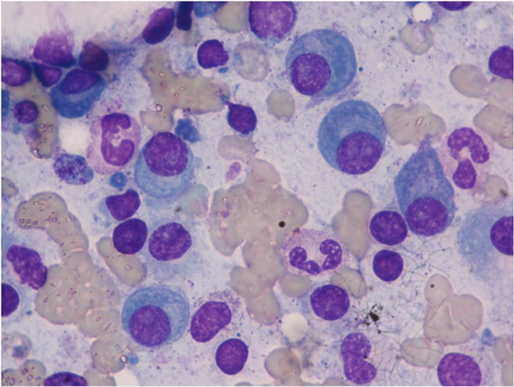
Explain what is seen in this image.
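Cytology smear with plasma cells among other stained cells and pale unstained cells. Plasma cells are large and oval, with abundant blue cytoplasm and a round, off-centre dark purple nucleus with clumped chromatin; some show a paler zone beside the nucleus. Smaller cells with dense round purple nuclei and scant cytoplasm lie scattered between them. A few cells have lobed or horseshoe-shaped purple nuclei in pinkish granular cytoplasm. Clusters of pale greyish-yellow rounded cells without visible nuclei fill much of the field. The background is pale bluish with fine debris and a small dark particulate clump.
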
